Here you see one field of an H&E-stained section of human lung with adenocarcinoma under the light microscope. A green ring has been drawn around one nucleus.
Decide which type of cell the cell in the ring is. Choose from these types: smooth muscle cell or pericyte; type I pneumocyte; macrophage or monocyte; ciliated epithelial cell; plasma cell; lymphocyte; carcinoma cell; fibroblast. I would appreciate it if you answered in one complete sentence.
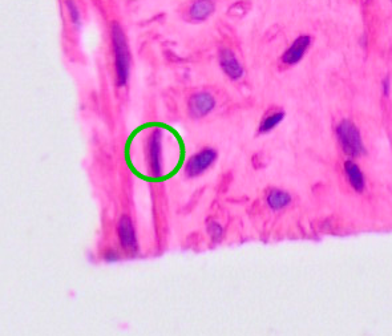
In cell-type terms, the cell in the ring is a smooth muscle cell or pericyte.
